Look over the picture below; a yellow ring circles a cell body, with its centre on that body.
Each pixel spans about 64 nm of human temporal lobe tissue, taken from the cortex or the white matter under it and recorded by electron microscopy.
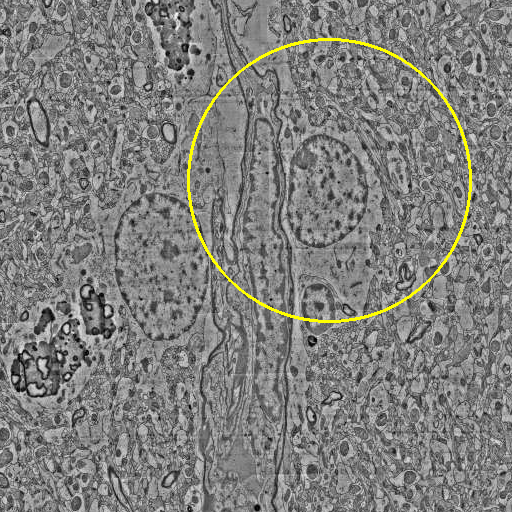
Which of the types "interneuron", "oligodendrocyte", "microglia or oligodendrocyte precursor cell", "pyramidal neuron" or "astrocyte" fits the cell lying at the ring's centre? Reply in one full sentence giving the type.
The picture shows an astrocyte at the centre of the yellow ring.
